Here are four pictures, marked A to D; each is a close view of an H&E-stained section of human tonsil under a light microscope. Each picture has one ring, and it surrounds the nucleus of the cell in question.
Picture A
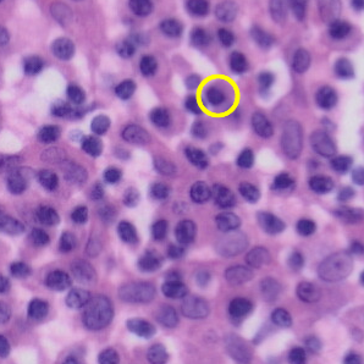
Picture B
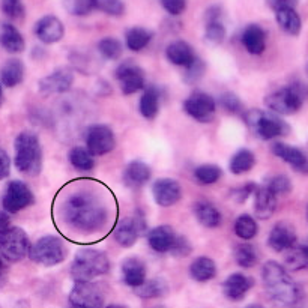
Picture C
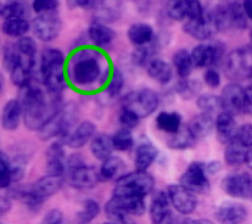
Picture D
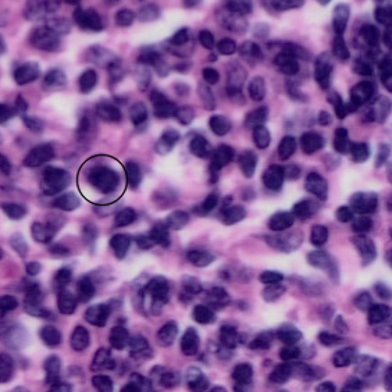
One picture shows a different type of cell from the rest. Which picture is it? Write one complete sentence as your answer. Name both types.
The different one is picture A; it shows a plasma cell, whereas all the others show proliferating B cells.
